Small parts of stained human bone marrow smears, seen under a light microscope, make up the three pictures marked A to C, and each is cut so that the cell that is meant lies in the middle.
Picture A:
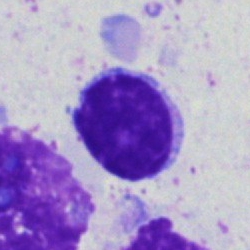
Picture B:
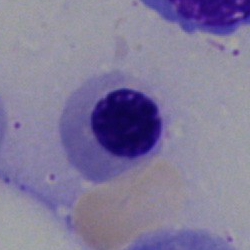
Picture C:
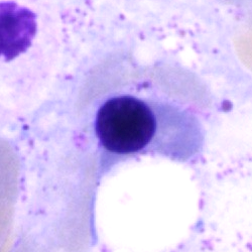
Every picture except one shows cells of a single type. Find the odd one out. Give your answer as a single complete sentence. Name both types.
The others show erythroblasts, but picture A shows a lymphocyte.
